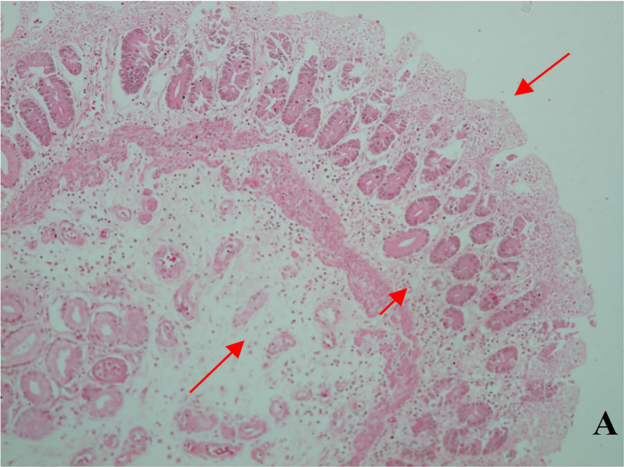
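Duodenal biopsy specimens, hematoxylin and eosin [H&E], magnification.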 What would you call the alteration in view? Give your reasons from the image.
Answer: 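The stroma beneath the glands is pale and loosely textured with wide empty spaces.
Hence: edema.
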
